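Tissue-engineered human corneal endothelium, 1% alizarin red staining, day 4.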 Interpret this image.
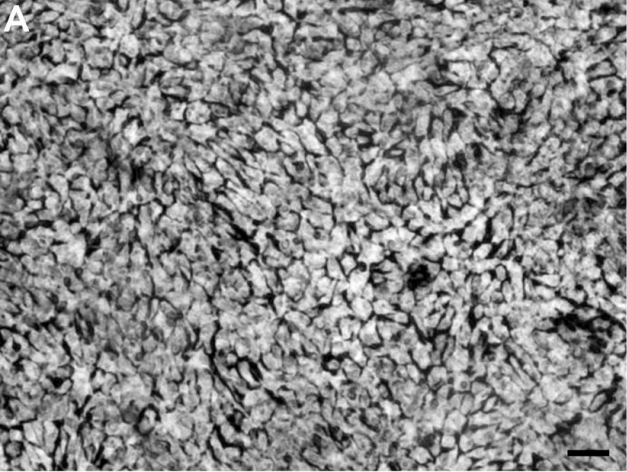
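The cells are small and polygonal, packed closely together. Their borders are stained dark and outline each cell, giving a mosaic-like pattern over the whole field. The cells are broadly similar in size, with no obvious gaps in the sheet.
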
